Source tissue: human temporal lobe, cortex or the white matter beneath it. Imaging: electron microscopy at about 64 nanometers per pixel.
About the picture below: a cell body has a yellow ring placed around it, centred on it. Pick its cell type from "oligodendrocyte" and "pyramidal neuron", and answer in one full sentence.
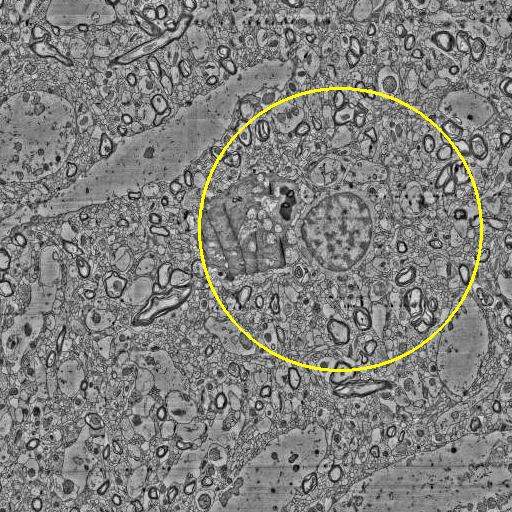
In the picture, an oligodendrocyte is the cell sitting at the centre of the yellow ring.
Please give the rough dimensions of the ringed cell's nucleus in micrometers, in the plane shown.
Roughly 5 micrometres across for the nucleus, in this plane.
